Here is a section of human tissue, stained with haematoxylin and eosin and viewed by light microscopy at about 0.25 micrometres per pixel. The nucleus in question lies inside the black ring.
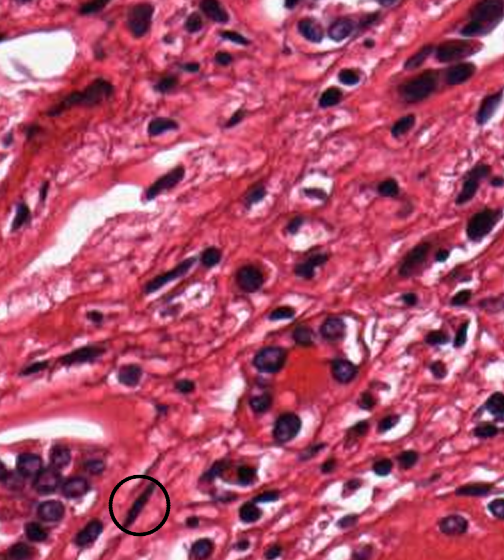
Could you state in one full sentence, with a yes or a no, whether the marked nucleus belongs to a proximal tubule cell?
No, not to a proximal tubule cell does the marked nucleus belong, but to a supporting cell.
